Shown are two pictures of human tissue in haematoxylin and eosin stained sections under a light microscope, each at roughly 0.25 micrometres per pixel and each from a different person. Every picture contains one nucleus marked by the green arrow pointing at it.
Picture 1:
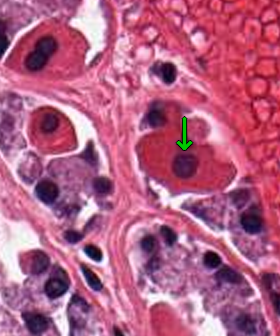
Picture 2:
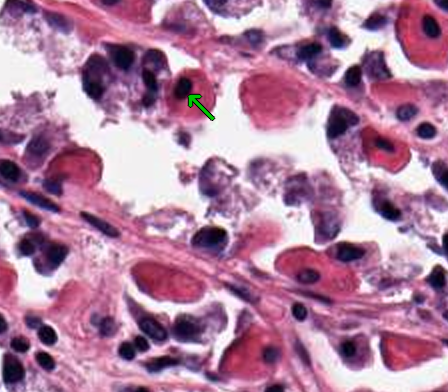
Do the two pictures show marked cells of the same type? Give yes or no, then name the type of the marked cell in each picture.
Yes, both are parietal cells.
